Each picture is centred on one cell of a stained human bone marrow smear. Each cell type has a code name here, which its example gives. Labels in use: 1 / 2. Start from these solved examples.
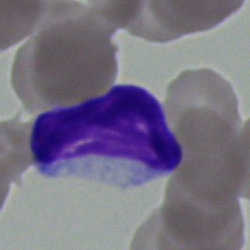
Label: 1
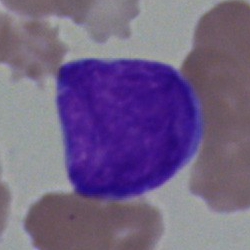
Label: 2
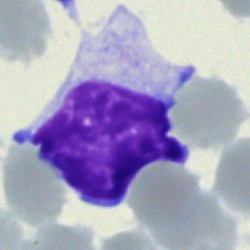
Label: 1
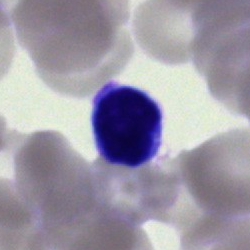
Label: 1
